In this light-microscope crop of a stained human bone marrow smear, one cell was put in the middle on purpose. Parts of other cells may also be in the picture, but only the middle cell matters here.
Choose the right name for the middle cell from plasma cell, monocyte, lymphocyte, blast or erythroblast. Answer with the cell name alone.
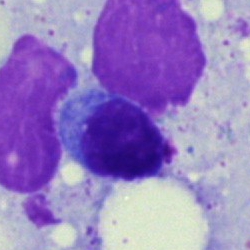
lymphocyte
